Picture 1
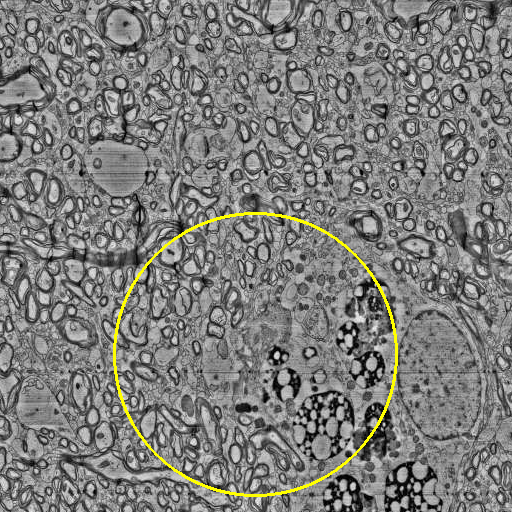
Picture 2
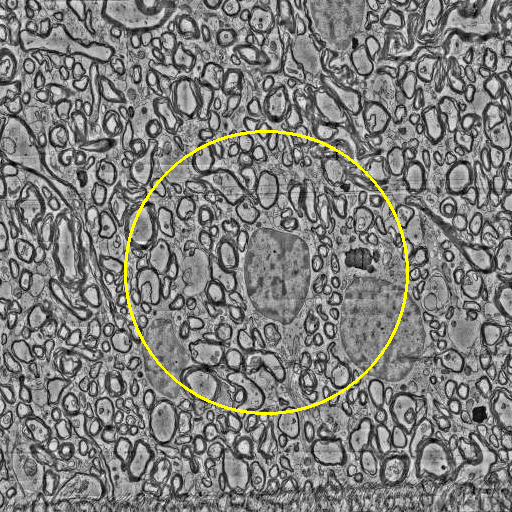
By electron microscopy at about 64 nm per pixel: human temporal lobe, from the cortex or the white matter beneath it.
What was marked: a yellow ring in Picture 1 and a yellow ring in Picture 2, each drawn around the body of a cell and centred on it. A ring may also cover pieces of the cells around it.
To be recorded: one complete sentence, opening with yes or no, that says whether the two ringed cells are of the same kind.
No, the two ringed cells are of two kinds.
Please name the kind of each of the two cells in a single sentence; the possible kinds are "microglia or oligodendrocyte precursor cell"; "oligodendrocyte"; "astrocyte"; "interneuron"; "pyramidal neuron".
In the first picture the ring is centred on an oligodendrocyte, and in the second on a microglial cell or oligodendrocyte precursor cell.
